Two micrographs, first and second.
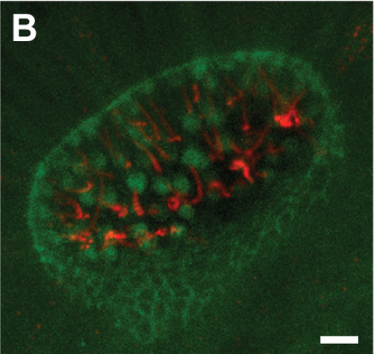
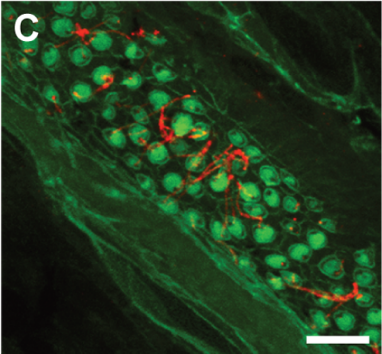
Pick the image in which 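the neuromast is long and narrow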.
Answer: The second image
